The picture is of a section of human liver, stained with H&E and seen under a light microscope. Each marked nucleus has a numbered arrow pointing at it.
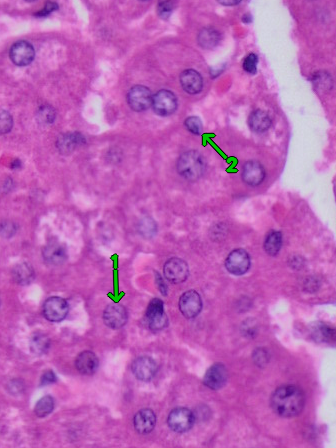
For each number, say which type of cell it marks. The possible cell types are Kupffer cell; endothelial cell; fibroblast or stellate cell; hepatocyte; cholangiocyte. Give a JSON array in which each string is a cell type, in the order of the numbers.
["hepatocyte", "endothelial cell"]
